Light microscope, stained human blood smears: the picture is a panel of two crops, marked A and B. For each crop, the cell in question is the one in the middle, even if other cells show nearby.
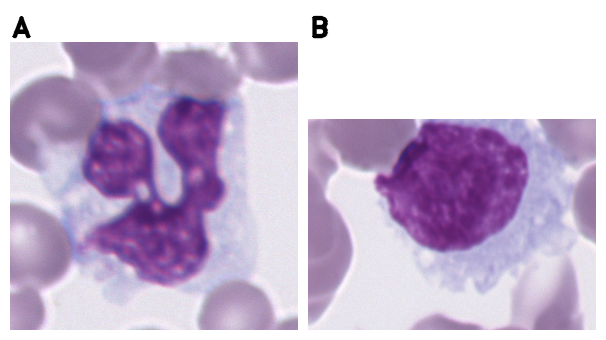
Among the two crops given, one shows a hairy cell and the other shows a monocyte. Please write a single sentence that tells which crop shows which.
Crop A contains a monocyte, and crop B, a hairy cell.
